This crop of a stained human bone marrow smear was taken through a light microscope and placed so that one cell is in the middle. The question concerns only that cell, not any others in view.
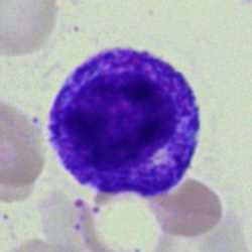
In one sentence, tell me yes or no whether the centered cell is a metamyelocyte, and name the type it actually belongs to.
No, the central cell is identified not as a metamyelocyte but as a myelocyte.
